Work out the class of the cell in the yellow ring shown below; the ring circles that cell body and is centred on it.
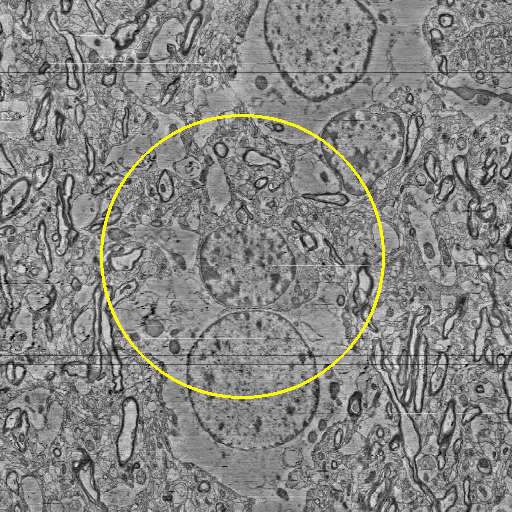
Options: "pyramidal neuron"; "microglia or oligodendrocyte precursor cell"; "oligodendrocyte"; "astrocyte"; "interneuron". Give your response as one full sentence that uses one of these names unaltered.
The body ringed in yellow, right at the ring's centre, is that of an oligodendrocyte.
